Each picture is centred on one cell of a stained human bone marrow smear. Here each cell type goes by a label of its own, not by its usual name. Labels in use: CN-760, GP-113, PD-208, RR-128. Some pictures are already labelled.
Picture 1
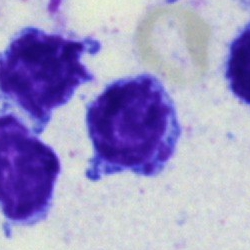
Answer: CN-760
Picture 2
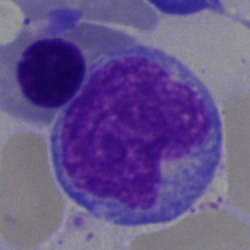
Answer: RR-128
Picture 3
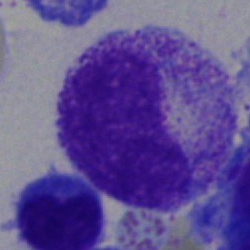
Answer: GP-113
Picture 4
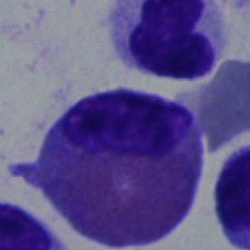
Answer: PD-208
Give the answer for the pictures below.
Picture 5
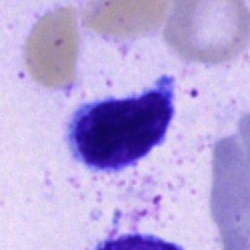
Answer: CN-760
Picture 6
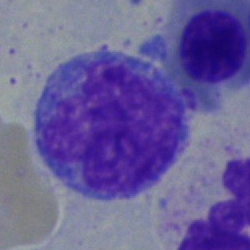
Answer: RR-128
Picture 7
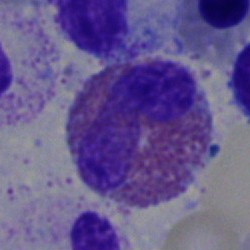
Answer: PD-208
